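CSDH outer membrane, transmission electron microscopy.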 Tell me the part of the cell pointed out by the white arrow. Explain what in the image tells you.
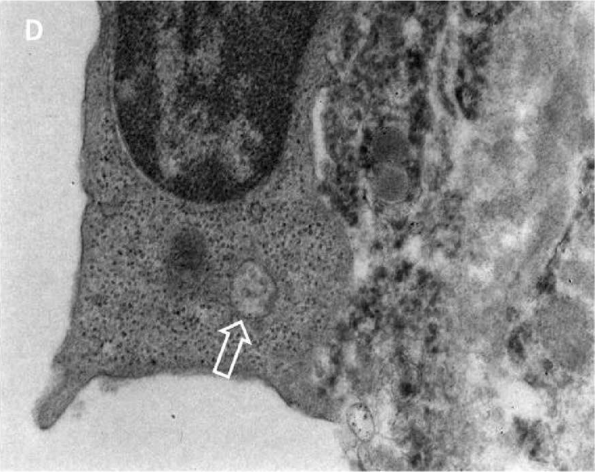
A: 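A small round membrane-bound body lies in the cytoplasm below the nucleus. The body contains small vesicle-like profiles within it.
Hence: multivesicular bodies.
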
